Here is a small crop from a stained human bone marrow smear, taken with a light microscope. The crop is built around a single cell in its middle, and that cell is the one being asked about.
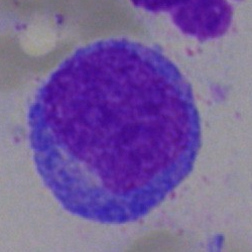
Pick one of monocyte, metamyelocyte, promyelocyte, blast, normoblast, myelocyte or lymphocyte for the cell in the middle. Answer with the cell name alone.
promyelocyte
